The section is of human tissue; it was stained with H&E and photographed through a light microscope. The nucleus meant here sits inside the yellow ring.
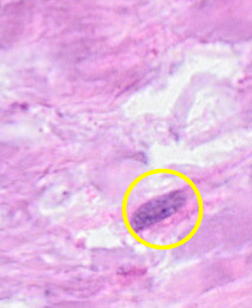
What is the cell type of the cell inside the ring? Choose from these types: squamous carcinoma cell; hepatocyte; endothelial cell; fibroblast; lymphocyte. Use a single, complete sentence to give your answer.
It is as a fibroblast that the cell inside the ring is classified.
